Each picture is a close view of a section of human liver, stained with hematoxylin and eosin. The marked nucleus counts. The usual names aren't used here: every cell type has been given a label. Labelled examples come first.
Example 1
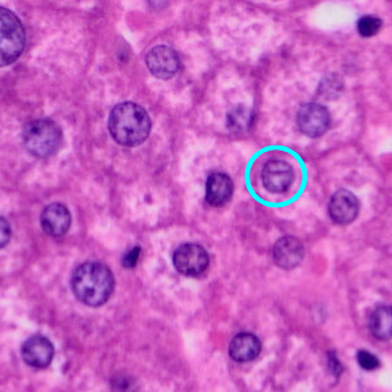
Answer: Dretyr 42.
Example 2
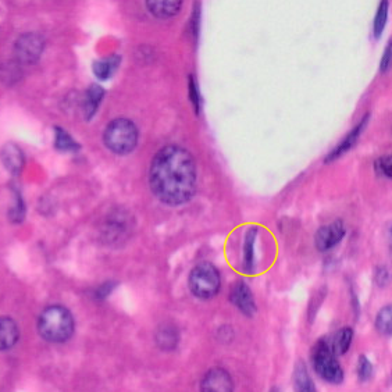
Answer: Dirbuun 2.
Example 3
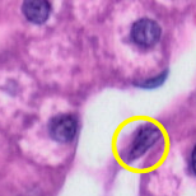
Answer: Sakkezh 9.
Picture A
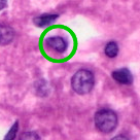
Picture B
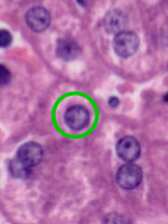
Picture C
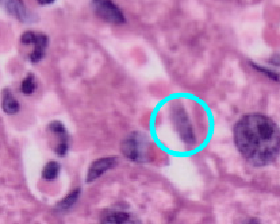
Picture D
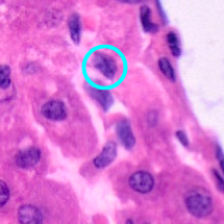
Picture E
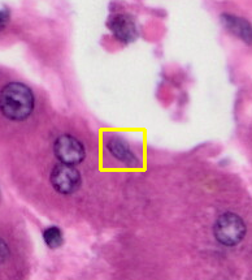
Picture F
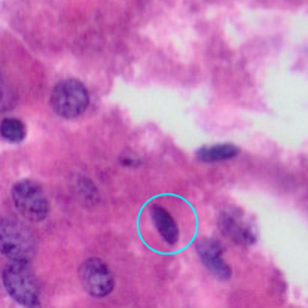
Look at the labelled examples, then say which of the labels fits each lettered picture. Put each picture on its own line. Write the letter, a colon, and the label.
A: Sakkezh 9.
B: Dretyr 42.
C: Sakkezh 9.
D: Dirbuun 2.
E: Dirbuun 2.
F: Dirbuun 2.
